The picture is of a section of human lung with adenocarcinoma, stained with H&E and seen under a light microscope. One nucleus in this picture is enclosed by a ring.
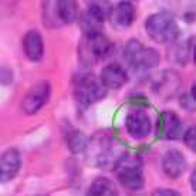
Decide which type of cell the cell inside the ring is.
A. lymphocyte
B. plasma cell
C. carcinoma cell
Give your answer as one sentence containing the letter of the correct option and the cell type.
The right pick is option A; the cell inside the ring is a lymphocyte.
